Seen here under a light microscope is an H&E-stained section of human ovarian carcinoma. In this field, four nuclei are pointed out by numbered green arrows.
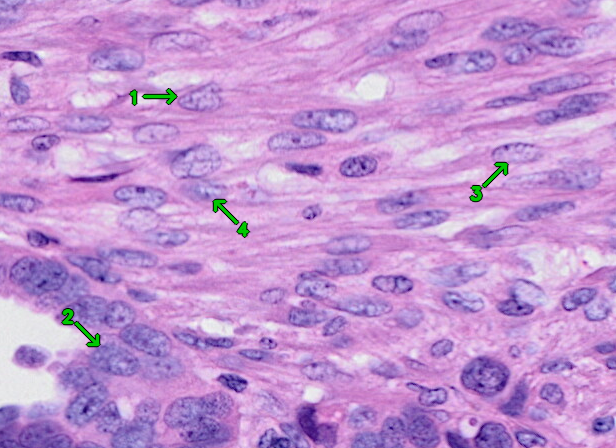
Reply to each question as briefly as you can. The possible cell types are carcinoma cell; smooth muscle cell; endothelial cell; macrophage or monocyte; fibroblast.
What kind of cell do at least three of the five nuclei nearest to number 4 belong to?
fibroblast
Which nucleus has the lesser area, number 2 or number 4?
4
